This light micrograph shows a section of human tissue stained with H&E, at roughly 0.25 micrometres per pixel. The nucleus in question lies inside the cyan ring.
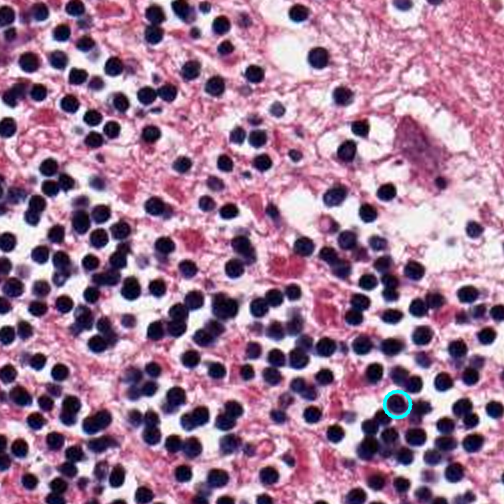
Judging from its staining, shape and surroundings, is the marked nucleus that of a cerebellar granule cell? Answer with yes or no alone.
yes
